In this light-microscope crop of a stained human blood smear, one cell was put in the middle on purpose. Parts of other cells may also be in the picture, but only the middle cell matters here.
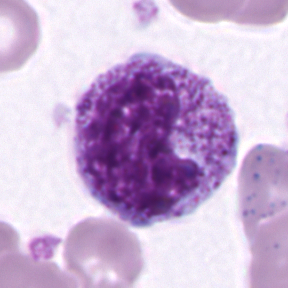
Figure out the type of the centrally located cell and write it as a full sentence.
On this slide crop, the central cell is a metamyelocyte.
